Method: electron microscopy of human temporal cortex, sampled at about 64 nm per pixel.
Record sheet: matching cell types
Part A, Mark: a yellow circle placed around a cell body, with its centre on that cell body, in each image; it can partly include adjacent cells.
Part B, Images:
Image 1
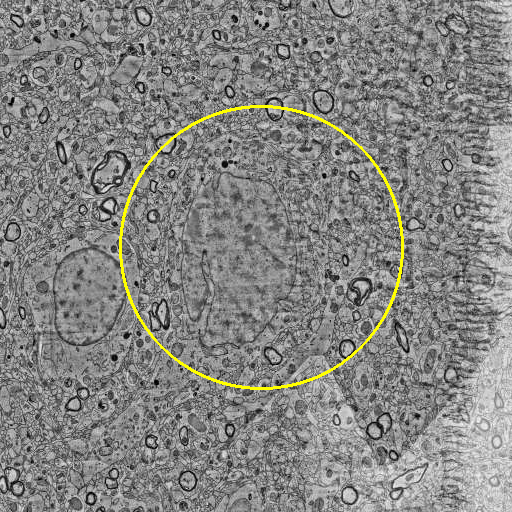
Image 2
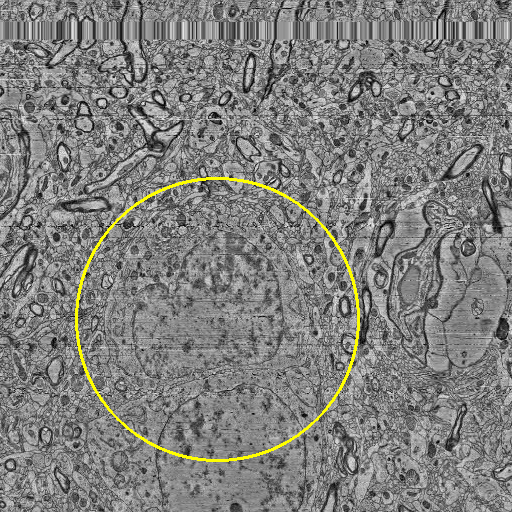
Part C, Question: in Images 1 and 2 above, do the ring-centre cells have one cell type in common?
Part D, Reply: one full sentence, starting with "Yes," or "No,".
Yes, the ring-centre cells of Image 1 and Image 2 are both of a single cell type.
